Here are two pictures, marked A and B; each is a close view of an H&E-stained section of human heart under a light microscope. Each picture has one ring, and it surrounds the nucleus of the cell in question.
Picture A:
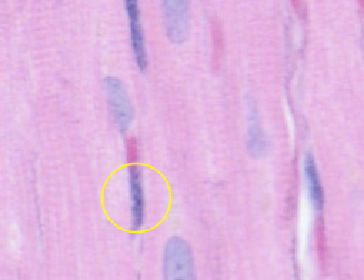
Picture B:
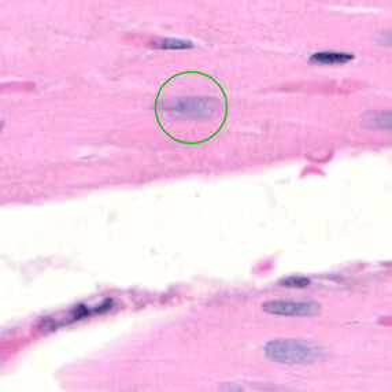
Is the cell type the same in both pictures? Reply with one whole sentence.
No, picture A shows an endothelial cell and picture B shows a cardiomyocyte.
